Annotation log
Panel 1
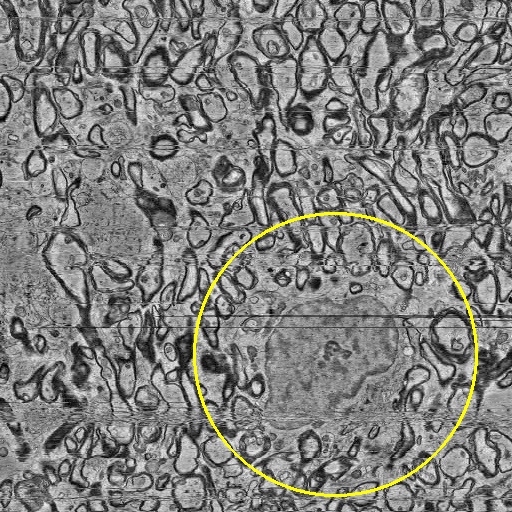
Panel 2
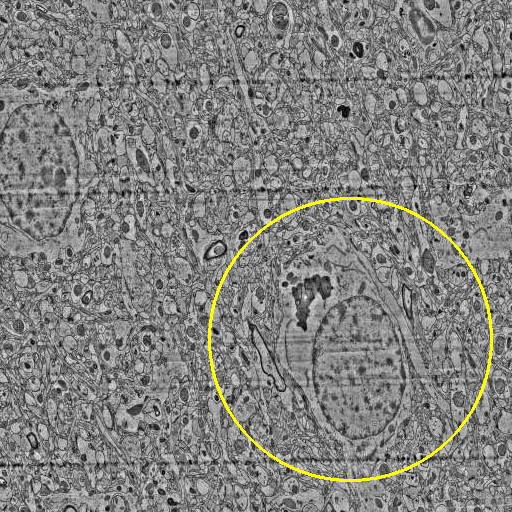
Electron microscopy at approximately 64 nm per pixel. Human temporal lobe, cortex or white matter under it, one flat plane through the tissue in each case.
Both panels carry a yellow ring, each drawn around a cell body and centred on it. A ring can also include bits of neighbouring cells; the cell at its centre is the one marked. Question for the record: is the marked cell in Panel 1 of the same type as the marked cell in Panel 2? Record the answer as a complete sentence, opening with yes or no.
No, the marked cells in Panel 1 and Panel 2 are of two types.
